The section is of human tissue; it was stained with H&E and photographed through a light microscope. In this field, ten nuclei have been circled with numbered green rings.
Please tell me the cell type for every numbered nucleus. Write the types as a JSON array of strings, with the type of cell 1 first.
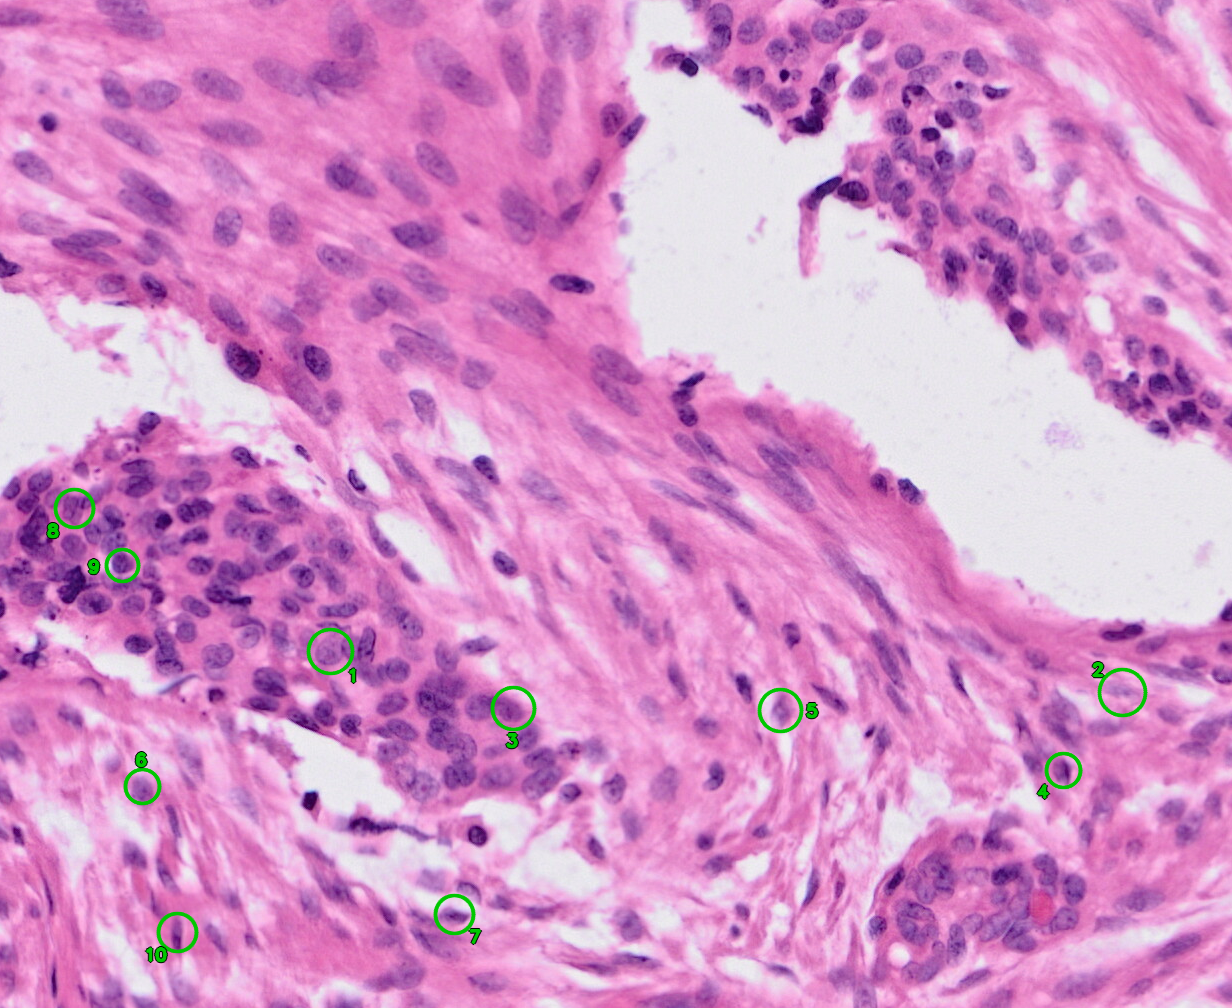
["carcinoma cell", "fibroblast", "carcinoma cell", "fibroblast", "fibroblast", "fibroblast", "fibroblast", "carcinoma cell", "carcinoma cell", "fibroblast"]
